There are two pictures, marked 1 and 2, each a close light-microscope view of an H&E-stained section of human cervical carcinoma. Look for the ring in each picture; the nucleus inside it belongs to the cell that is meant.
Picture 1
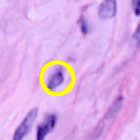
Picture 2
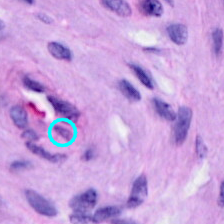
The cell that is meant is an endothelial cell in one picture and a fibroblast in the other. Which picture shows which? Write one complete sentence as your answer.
In picture 1 the cell is a fibroblast; in picture 2, an endothelial cell.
